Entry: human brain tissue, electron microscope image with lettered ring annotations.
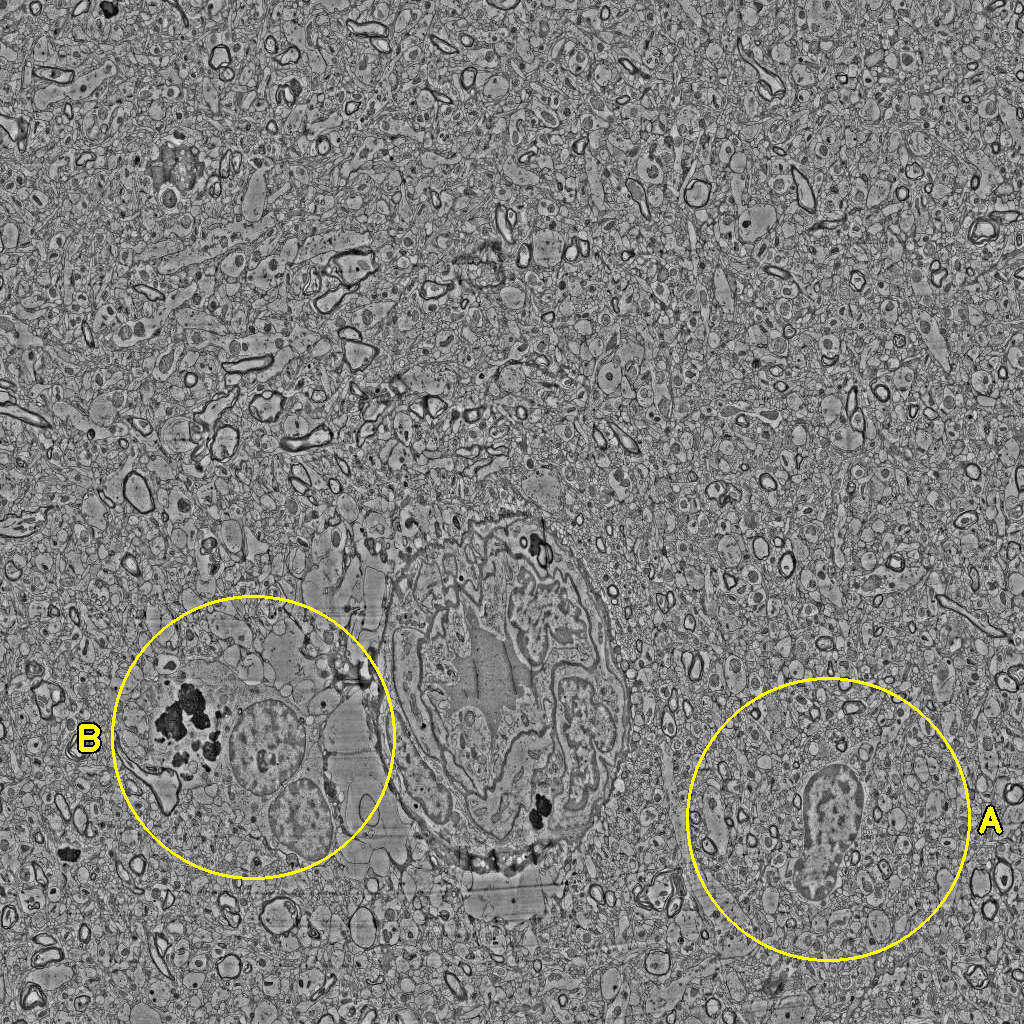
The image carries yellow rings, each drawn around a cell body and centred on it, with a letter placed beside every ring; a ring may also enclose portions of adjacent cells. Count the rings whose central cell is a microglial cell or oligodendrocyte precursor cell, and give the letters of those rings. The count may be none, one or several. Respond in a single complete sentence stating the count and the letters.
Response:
Placed beside the single ring centred on a microglial cell or oligodendrocyte precursor cell is the letter A.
